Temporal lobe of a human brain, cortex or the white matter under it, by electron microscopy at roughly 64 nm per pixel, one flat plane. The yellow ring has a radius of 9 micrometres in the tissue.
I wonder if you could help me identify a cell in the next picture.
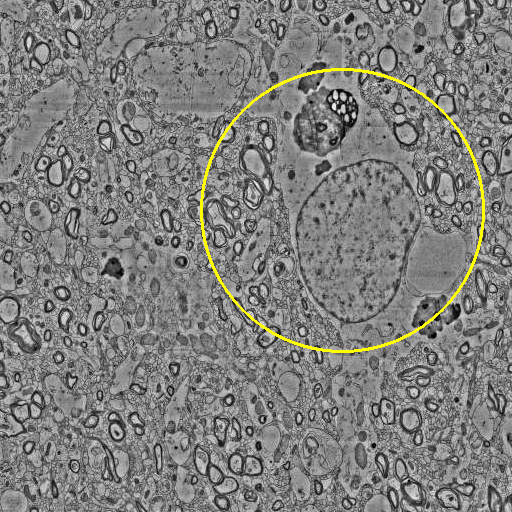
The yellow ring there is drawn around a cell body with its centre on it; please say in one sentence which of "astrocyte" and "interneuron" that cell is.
The yellow ring is centred on an astrocyte.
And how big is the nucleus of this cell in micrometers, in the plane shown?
In this plane, the nucleus of the cell at the centre of the ring measures about 11 by 8 micrometres.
